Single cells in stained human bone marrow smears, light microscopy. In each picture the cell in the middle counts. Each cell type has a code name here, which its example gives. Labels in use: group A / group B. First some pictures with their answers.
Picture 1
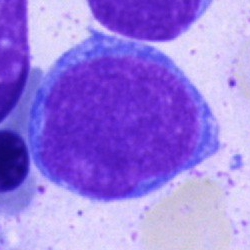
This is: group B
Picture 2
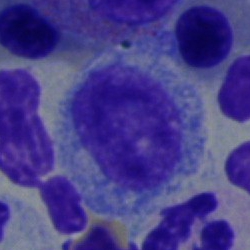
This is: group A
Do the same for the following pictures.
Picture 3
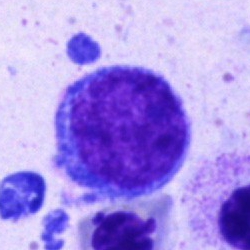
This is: group B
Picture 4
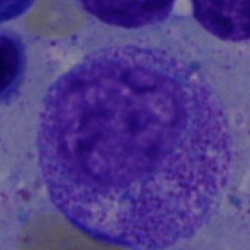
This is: group A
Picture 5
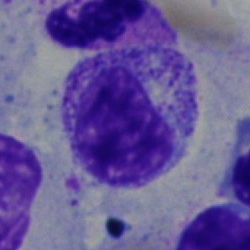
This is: group A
